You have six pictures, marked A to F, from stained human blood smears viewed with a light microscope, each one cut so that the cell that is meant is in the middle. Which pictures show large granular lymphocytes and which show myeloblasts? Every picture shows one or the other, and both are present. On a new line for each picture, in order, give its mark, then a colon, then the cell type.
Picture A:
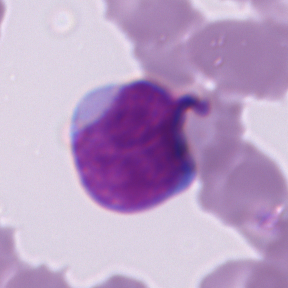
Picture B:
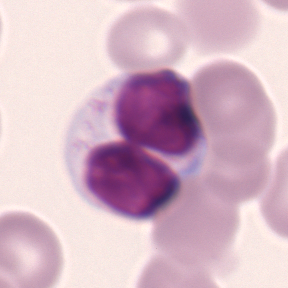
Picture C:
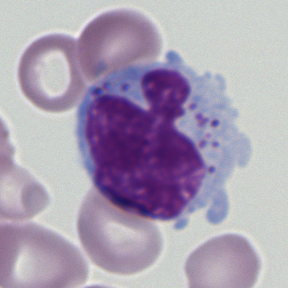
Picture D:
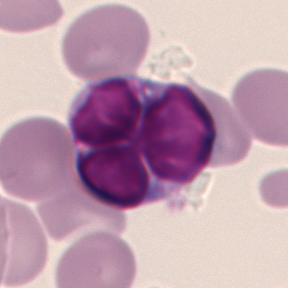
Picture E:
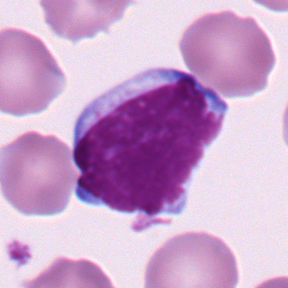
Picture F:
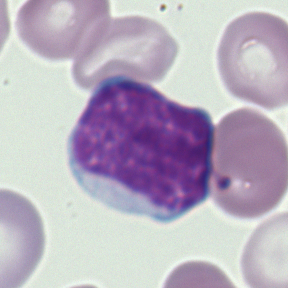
A: myeloblast
B: large granular lymphocyte
C: large granular lymphocyte
D: large granular lymphocyte
E: large granular lymphocyte
F: myeloblast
